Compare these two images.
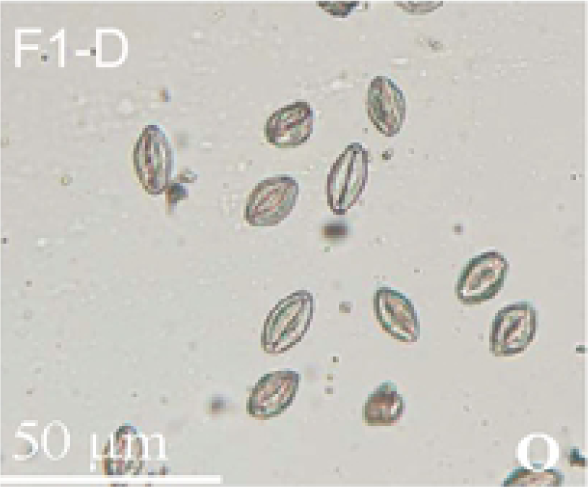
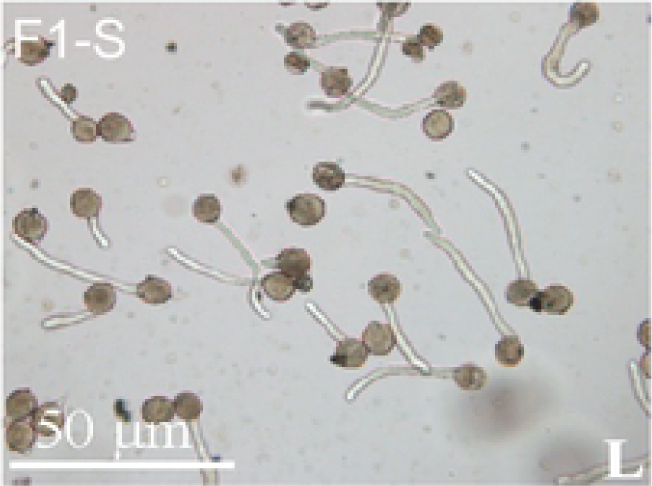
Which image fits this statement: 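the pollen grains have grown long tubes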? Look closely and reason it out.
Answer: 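The second image. First image: elongated furrowed grains with no tubes. Second image: round dark grains, many with long clear tubes.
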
